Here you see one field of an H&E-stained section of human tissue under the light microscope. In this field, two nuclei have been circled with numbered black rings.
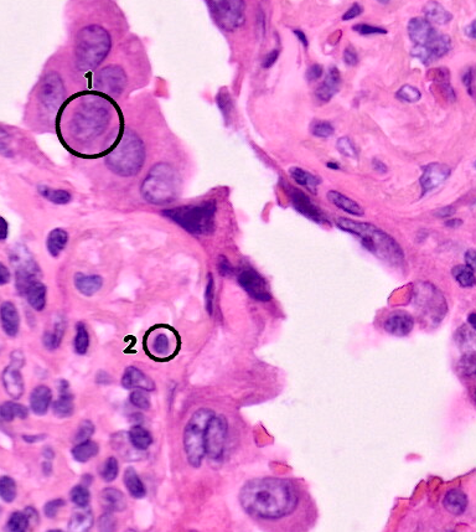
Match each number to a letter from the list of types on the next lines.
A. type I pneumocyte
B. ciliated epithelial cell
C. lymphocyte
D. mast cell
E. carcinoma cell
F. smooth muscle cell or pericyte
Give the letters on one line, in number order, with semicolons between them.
E; C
